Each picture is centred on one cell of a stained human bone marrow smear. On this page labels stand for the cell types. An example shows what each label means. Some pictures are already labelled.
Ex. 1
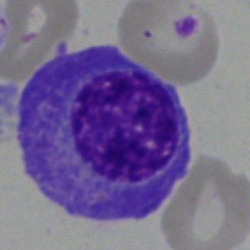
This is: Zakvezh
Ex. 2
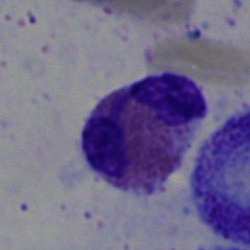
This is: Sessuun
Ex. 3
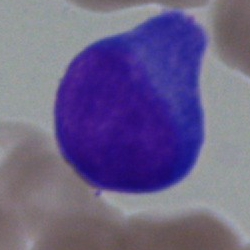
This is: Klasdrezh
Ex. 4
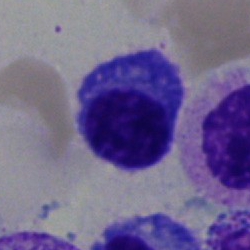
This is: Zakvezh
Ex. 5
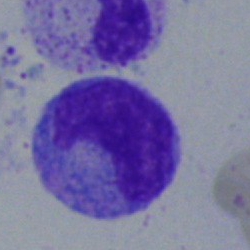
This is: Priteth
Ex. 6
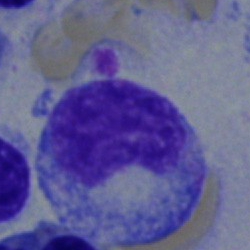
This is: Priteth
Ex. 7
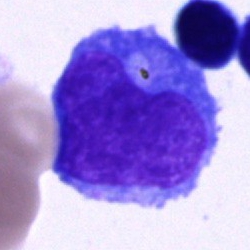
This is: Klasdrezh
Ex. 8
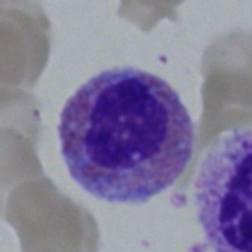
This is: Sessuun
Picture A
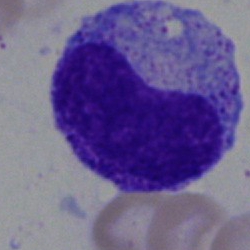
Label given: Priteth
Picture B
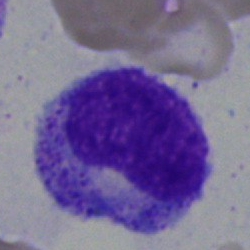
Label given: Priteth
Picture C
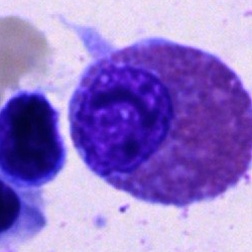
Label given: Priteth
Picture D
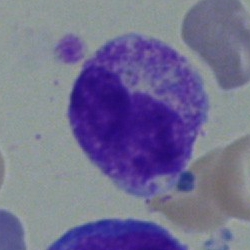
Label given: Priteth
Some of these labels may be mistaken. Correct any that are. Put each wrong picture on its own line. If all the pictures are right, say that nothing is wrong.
C is labelled Priteth; correct label: Sessuun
